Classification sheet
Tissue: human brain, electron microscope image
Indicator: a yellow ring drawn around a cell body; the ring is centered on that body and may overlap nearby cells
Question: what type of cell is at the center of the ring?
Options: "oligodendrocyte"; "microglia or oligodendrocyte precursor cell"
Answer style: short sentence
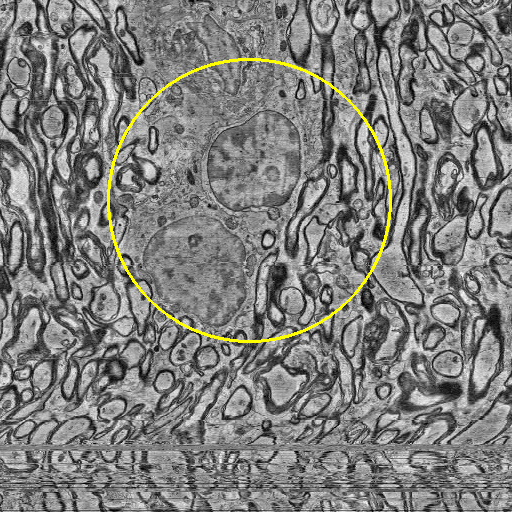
At the ring's center is a microglial cell or oligodendrocyte precursor cell.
